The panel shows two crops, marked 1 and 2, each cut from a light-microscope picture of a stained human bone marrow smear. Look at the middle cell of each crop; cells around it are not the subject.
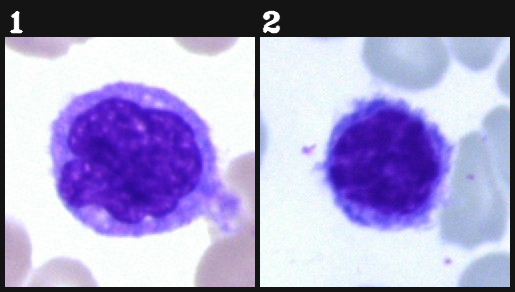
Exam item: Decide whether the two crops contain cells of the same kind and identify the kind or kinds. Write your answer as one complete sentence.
No, crop 1 displays a monocyte and crop 2 displays a hairy cell.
